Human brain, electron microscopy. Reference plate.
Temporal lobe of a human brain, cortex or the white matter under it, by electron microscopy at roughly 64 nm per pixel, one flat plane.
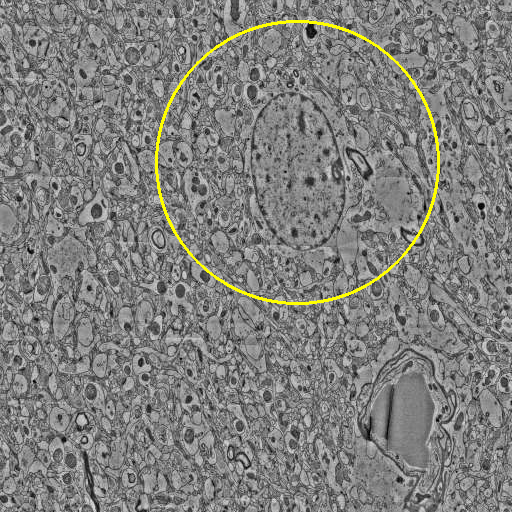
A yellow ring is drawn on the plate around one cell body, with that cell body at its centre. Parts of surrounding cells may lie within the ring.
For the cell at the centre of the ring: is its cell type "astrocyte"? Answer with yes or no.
Yes, that is its cell type.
